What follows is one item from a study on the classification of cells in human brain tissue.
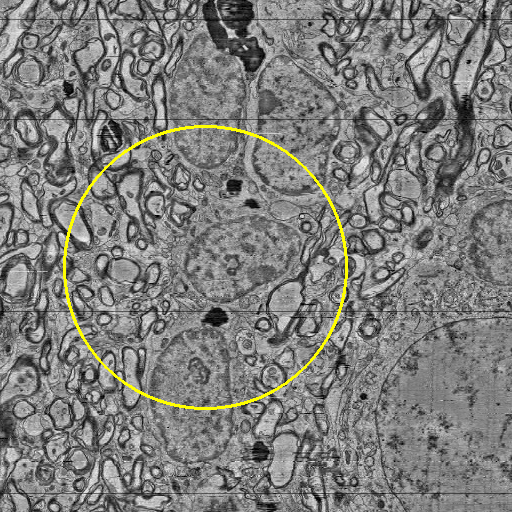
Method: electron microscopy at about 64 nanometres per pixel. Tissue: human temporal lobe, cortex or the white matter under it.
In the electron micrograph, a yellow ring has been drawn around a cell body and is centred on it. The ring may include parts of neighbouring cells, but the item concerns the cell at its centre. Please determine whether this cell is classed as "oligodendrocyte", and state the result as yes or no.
yes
